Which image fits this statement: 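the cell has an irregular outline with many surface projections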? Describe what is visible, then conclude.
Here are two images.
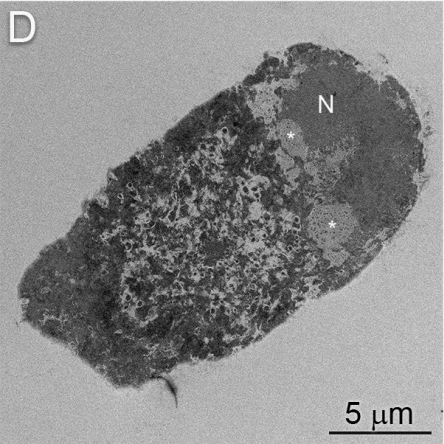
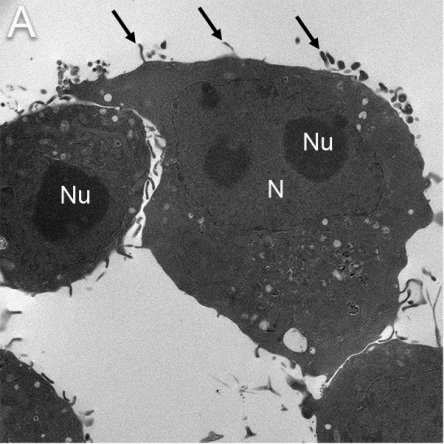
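First image: the cell is a smooth, rounded oval with few surface projections. Second image: the cell outline is irregular with numerous thin projections from the surface.
Hence: the second image.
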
